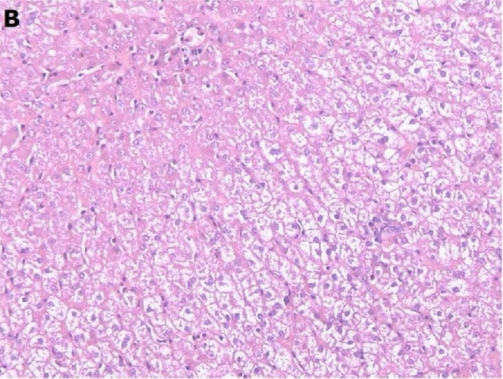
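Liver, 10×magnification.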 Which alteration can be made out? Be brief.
Vacuolated hepatocytes.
